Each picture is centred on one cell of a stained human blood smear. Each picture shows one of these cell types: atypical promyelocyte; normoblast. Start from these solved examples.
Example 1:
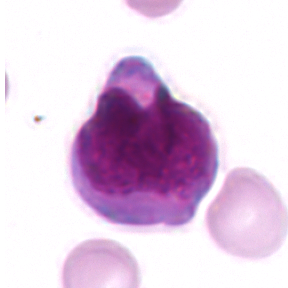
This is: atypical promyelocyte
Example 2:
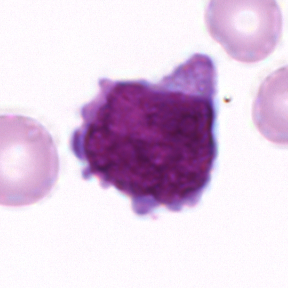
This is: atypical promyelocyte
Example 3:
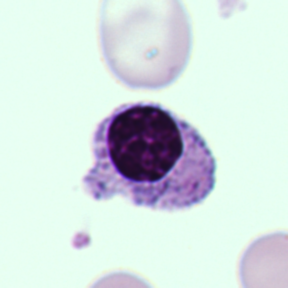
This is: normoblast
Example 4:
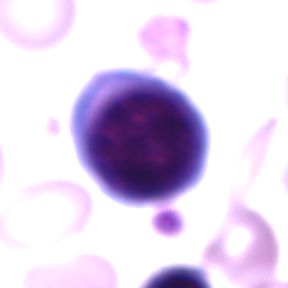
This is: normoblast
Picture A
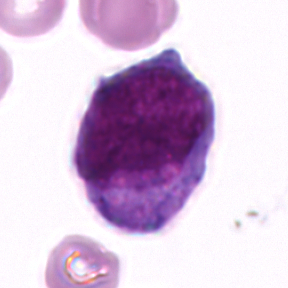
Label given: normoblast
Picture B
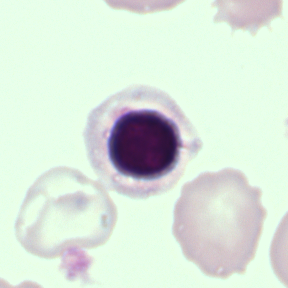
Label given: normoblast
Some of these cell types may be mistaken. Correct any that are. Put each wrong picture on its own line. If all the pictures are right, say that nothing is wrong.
A: change normoblast to atypical promyelocyte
